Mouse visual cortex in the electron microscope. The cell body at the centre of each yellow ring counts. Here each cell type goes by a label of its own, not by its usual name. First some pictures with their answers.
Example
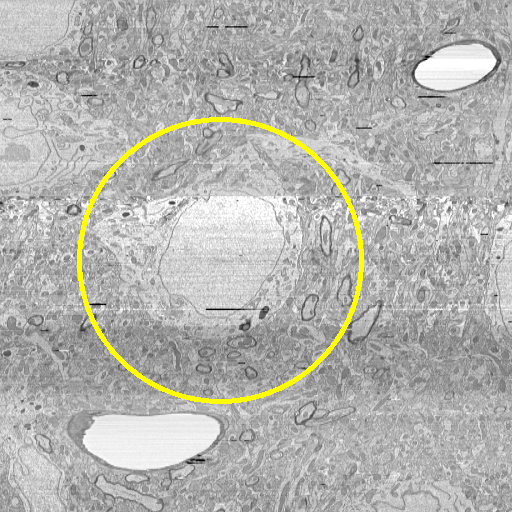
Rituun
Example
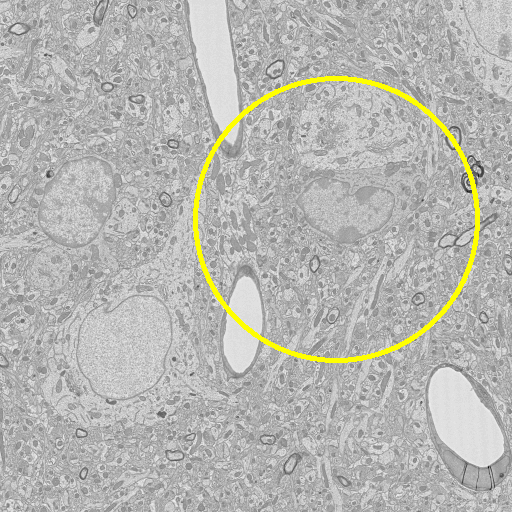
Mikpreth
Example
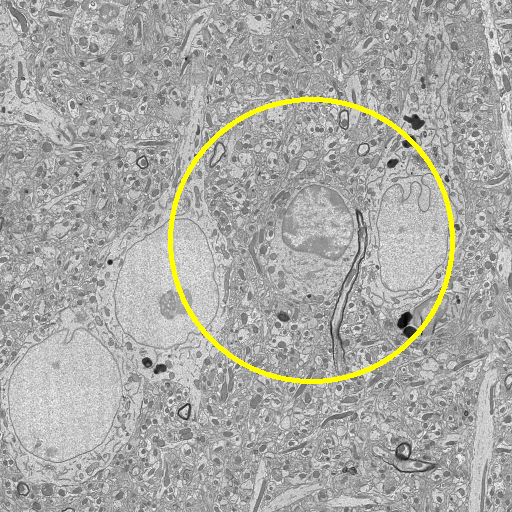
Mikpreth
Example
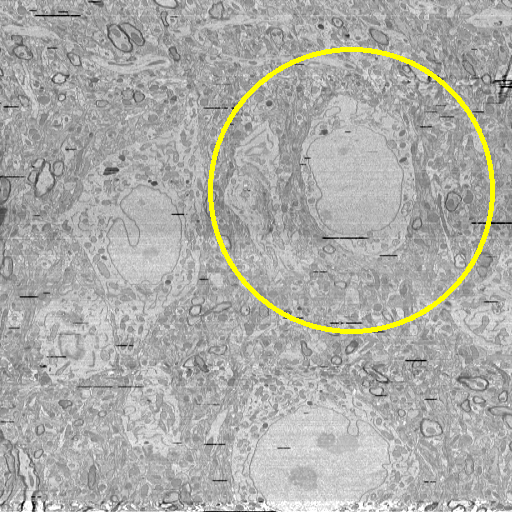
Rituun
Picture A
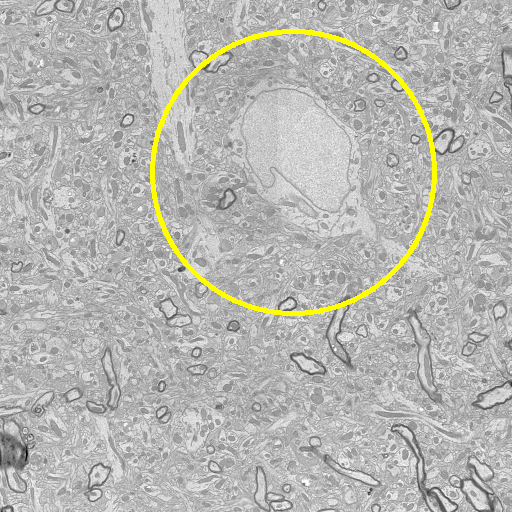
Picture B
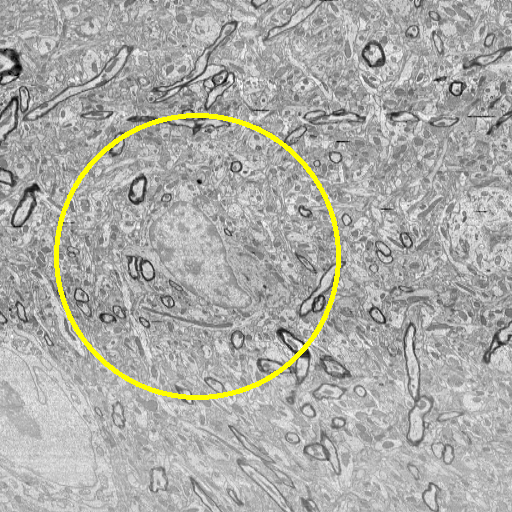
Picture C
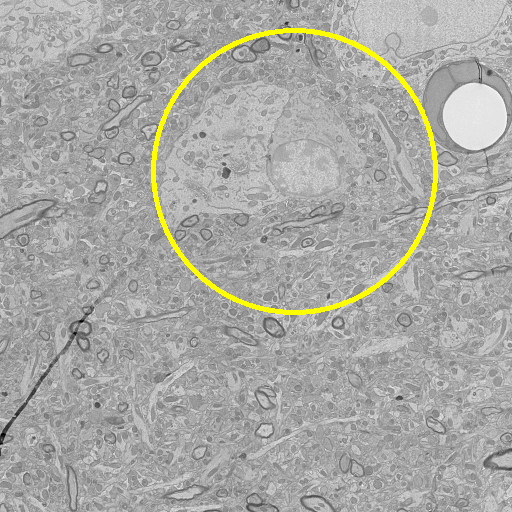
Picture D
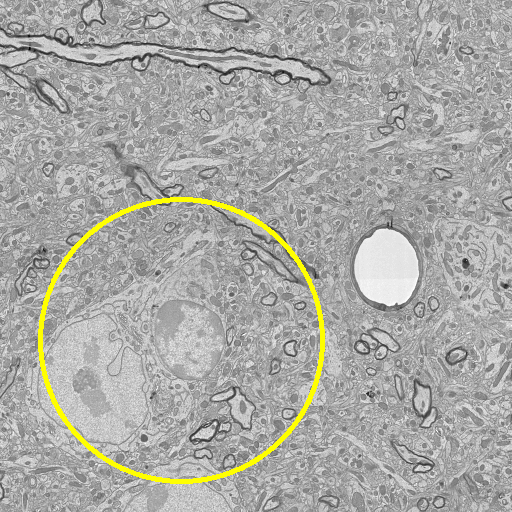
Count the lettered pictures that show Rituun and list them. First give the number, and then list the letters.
1: A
